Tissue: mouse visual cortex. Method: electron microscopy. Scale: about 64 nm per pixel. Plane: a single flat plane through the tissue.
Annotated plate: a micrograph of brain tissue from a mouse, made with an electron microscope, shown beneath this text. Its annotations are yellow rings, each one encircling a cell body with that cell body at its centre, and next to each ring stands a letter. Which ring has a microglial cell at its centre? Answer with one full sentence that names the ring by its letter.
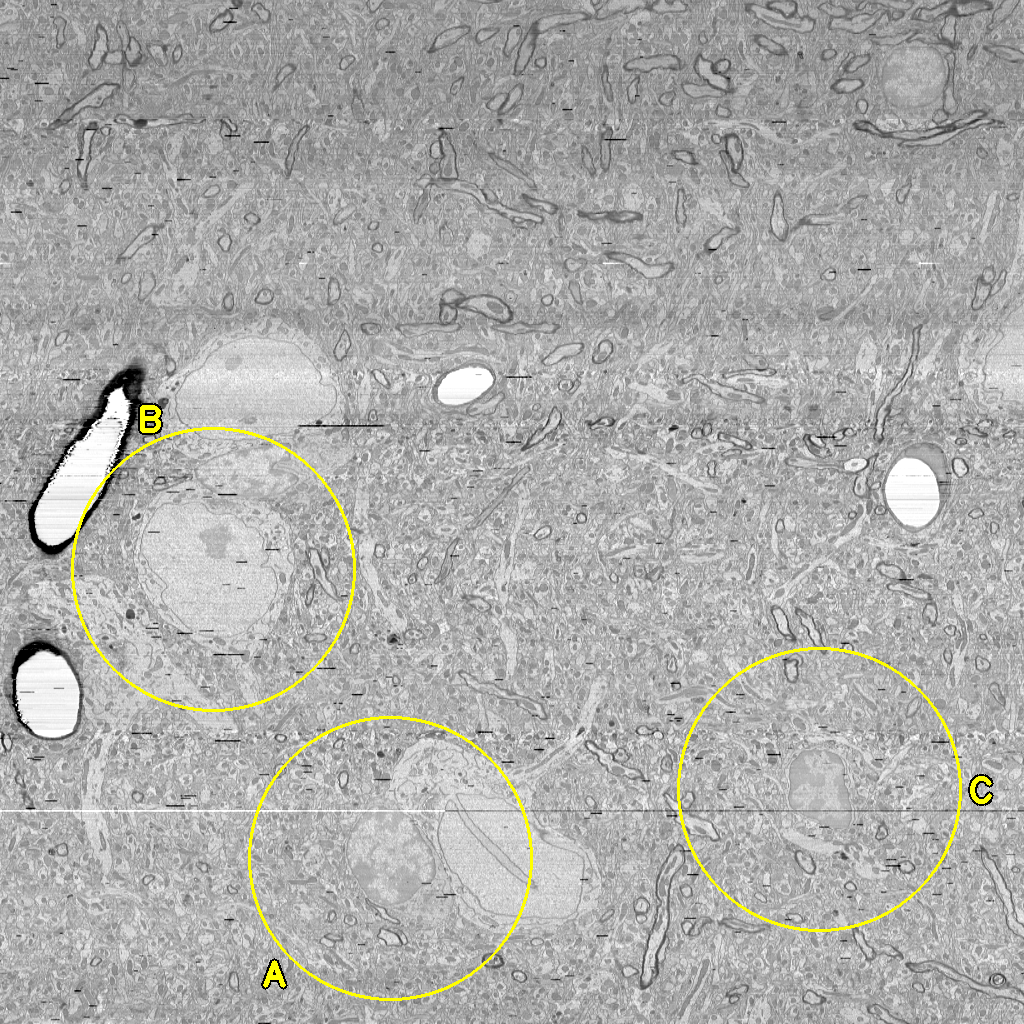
In the plate, ring C is the one centred on a cell of that kind.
